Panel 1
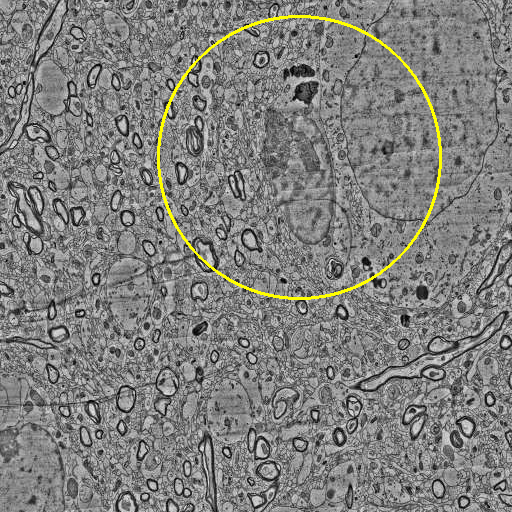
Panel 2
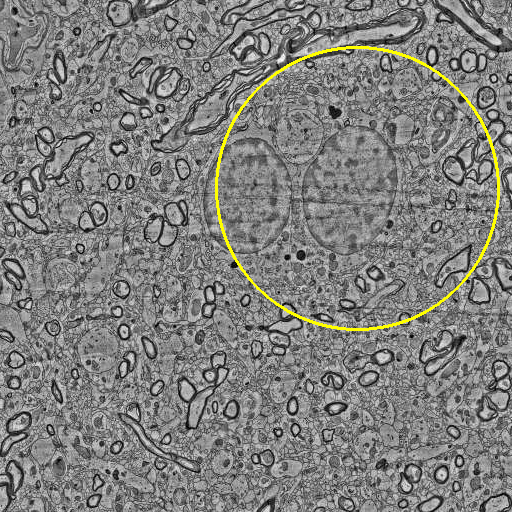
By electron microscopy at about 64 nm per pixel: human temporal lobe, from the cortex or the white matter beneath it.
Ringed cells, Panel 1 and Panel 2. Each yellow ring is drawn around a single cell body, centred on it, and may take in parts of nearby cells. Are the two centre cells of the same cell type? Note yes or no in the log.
yes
